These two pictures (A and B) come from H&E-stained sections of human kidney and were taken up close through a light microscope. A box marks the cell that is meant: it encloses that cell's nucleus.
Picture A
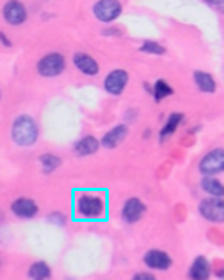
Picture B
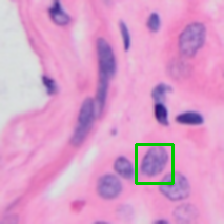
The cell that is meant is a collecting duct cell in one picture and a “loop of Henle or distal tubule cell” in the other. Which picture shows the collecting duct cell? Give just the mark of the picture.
B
